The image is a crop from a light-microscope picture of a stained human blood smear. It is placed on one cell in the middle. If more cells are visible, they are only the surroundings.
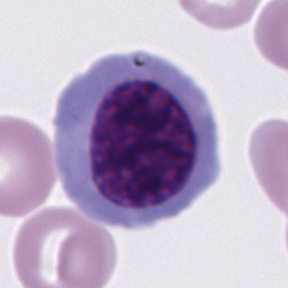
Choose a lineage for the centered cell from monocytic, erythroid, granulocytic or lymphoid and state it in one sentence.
Lineage designation for the cell in the middle reads erythroid.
